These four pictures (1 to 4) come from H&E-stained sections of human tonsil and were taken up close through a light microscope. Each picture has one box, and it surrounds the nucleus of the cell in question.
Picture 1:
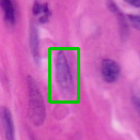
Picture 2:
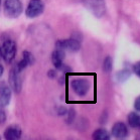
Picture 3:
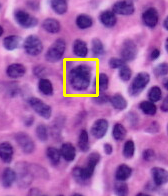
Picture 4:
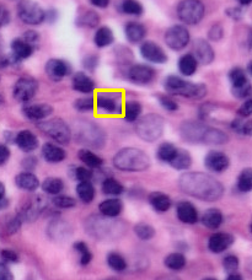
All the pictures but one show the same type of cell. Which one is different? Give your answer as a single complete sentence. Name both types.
Unlike the rest, which show endothelial cells, picture 3 shows a proliferating B cell.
